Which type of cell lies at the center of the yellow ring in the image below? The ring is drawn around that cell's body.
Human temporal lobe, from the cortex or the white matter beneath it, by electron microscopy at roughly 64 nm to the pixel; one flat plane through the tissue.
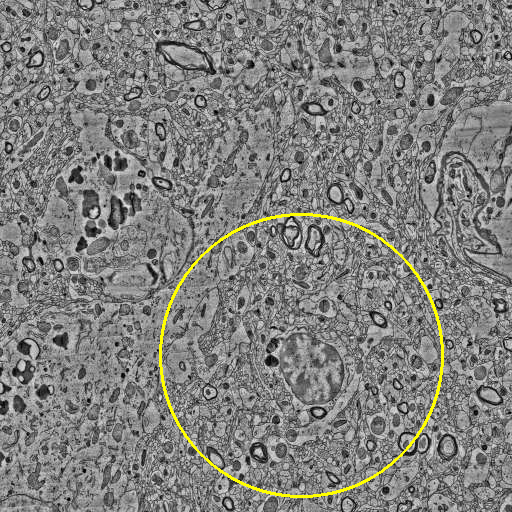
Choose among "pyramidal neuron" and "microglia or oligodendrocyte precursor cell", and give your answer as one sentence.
The cell body at the center belongs to a microglial cell or oligodendrocyte precursor cell.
